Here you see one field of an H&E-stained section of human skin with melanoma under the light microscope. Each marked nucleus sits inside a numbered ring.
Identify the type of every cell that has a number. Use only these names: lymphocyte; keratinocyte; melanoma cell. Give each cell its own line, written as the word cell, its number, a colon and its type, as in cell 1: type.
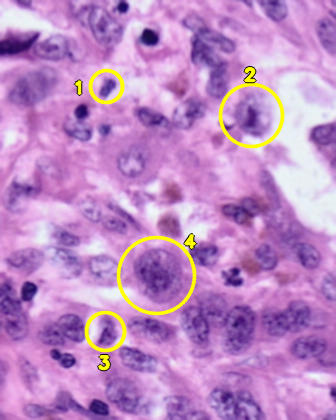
cell 1: lymphocyte
cell 2: melanoma cell
cell 3: melanoma cell
cell 4: melanoma cell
